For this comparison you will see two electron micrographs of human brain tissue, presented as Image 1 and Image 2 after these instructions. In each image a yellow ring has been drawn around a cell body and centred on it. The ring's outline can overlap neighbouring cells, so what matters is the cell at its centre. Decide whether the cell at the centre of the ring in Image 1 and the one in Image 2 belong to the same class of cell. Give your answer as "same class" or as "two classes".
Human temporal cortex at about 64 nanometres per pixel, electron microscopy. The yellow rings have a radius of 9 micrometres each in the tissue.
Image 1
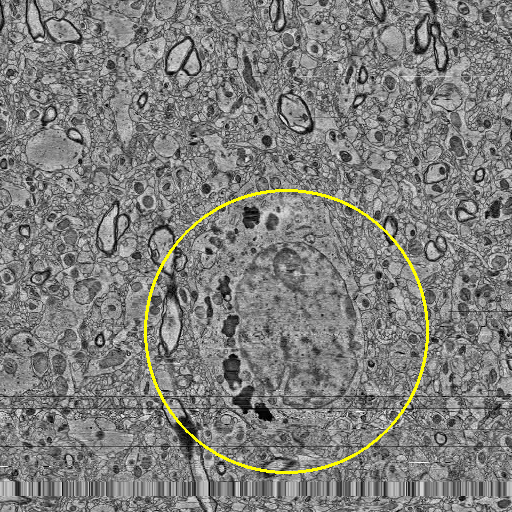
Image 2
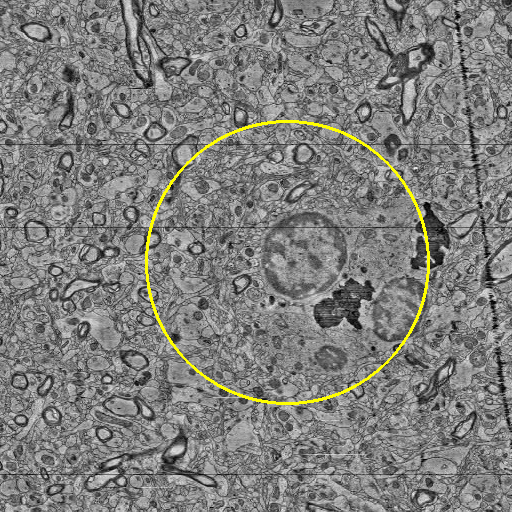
two classes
